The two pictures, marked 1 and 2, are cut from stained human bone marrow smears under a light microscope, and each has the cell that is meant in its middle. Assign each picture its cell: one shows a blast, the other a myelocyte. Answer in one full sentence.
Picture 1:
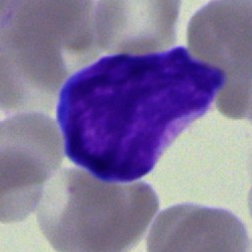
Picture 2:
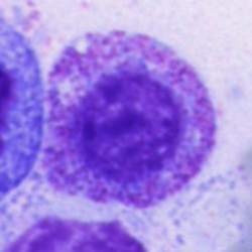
In picture 1 the cell is a blast; in picture 2, a myelocyte.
